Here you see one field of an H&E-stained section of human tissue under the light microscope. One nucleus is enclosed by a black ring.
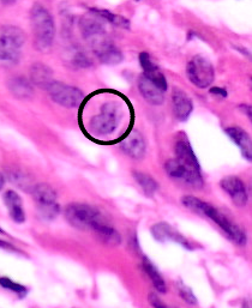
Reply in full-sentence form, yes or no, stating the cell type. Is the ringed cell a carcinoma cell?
No, the correct identification of the ringed cell is a macrophage or monocyte, not a carcinoma cell.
